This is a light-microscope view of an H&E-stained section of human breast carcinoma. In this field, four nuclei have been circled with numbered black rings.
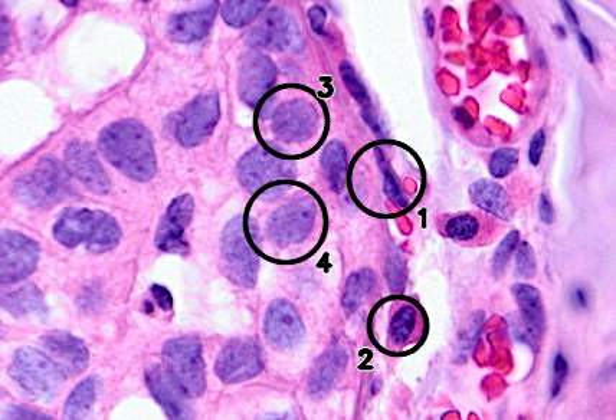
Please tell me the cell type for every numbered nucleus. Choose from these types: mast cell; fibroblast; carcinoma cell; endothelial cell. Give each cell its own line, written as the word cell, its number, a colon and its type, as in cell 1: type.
cell 1: endothelial cell
cell 2: mast cell
cell 3: carcinoma cell
cell 4: carcinoma cell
